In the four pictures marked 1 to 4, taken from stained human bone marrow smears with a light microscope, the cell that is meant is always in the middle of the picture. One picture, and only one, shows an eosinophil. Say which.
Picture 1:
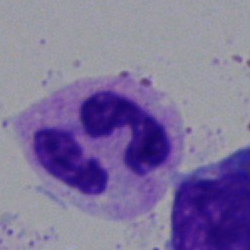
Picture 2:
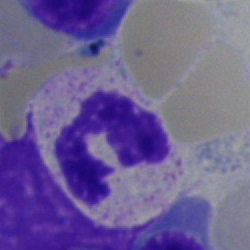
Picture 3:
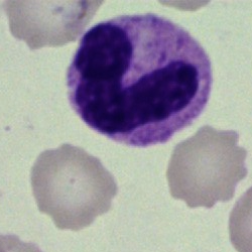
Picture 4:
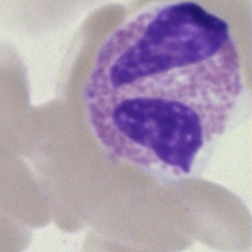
4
